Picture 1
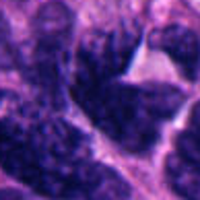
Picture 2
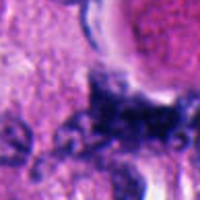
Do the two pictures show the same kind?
Yes, both are syncytial knots.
